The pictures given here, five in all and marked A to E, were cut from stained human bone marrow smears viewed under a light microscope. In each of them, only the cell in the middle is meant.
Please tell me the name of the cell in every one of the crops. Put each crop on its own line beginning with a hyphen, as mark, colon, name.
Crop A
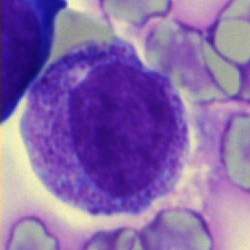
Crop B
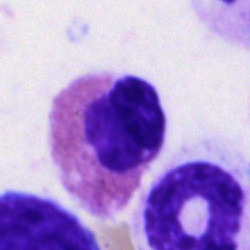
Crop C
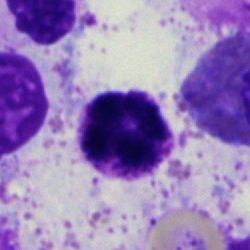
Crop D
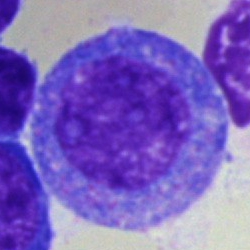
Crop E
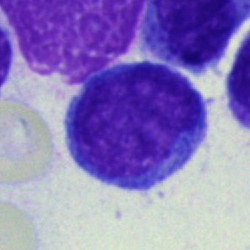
- A: promyelocyte
- B: eosinophil
- C: basophil
- D: promyelocyte
- E: blast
